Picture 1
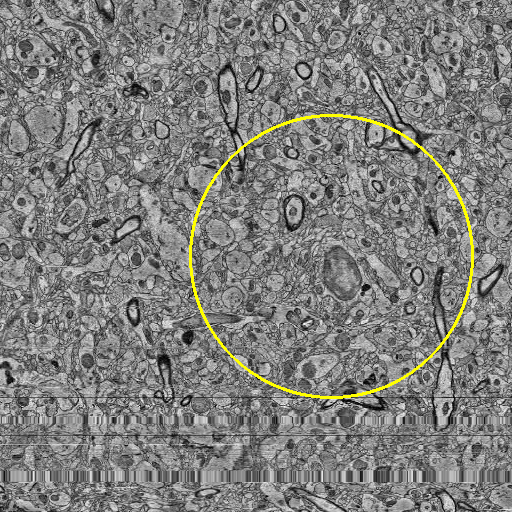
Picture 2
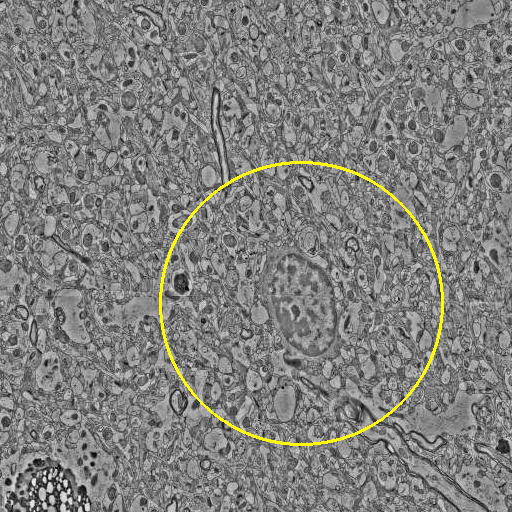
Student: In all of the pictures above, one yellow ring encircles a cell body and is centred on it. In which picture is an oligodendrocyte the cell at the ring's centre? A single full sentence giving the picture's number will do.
Picture number 2 has the wanted cell right at the centre of its ring.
